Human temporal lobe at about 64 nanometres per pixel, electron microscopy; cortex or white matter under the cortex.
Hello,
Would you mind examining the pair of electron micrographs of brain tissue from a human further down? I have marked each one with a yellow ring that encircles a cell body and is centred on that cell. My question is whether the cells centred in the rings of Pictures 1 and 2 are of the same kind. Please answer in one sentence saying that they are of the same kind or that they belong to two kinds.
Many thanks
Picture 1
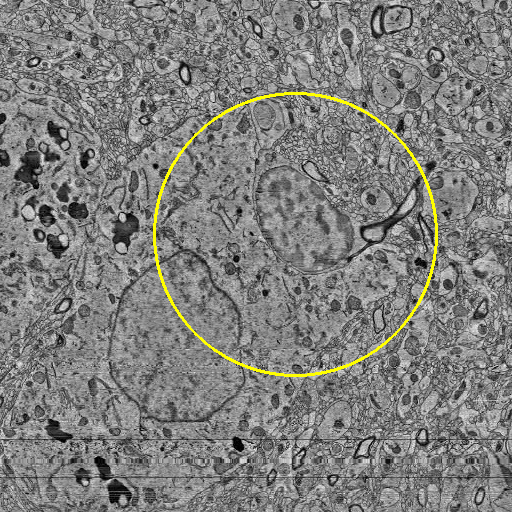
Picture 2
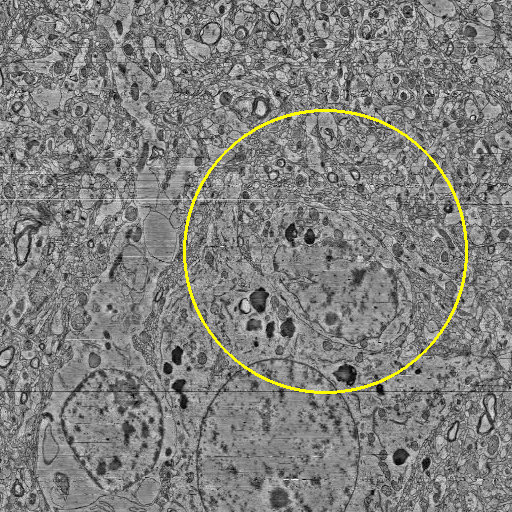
In Pictures 1 and 2, the cells at the heart of the rings belong to two kinds.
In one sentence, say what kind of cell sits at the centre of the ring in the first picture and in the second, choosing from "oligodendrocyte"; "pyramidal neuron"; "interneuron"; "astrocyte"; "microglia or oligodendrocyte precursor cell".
The first picture's ringed cell is an oligodendrocyte, while the second picture's is an interneuron.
